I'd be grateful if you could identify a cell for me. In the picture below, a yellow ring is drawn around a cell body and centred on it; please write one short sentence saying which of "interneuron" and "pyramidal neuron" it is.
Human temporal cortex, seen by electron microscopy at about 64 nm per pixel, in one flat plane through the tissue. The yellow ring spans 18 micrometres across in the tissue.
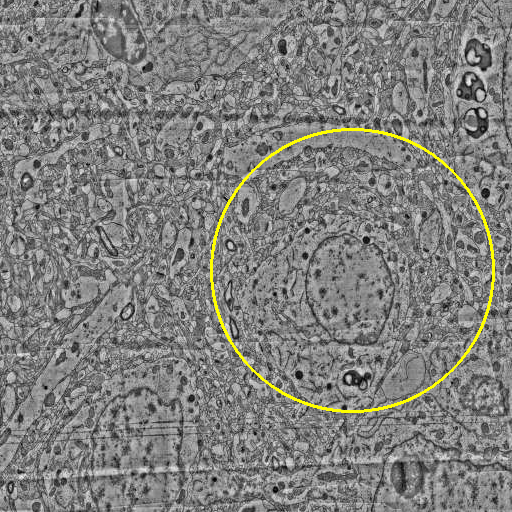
The cell under the ring's centre is a pyramidal neuron.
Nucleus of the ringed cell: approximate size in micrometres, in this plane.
In this plane, the nucleus is roughly 7 by 6 micrometres.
